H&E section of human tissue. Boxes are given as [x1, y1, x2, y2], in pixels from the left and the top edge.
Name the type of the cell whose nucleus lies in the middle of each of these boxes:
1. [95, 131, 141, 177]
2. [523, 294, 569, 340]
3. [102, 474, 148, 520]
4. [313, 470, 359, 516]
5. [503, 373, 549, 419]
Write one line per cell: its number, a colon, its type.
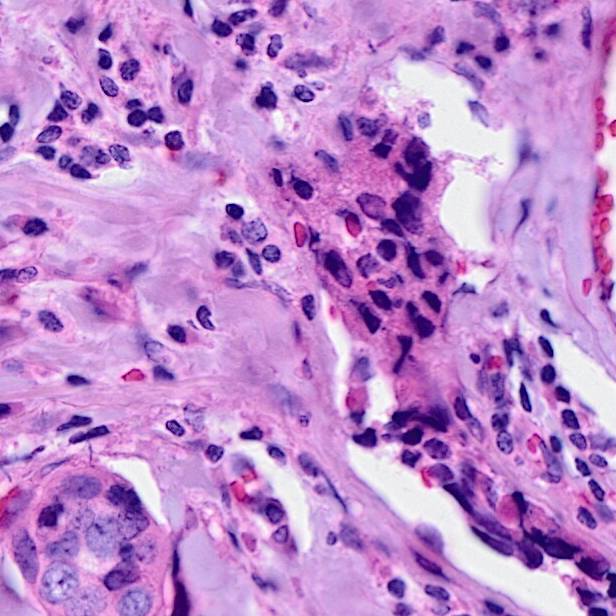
1: lymphocyte
2: lymphocyte
3: carcinoma cell
4: fibroblast
5: lymphocyte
